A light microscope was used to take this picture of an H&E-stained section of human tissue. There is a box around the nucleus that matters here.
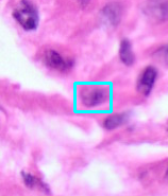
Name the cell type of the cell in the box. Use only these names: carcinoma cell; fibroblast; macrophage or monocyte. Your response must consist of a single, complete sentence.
Among the cells in this section, the cell in the box is a fibroblast.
